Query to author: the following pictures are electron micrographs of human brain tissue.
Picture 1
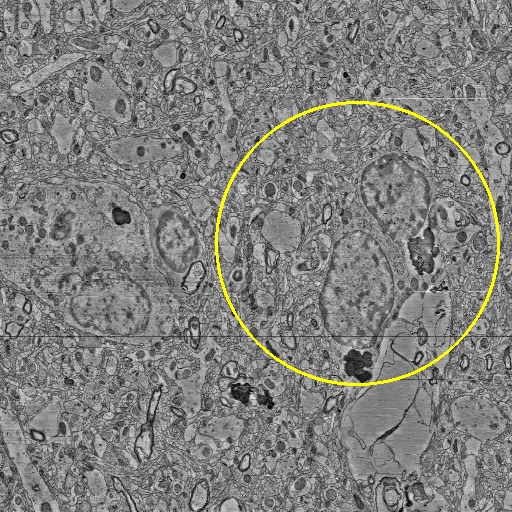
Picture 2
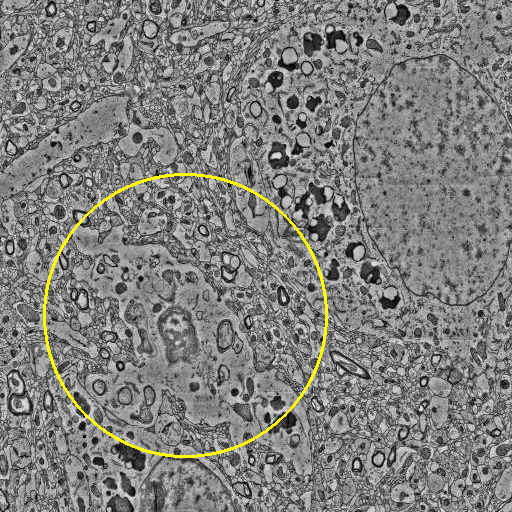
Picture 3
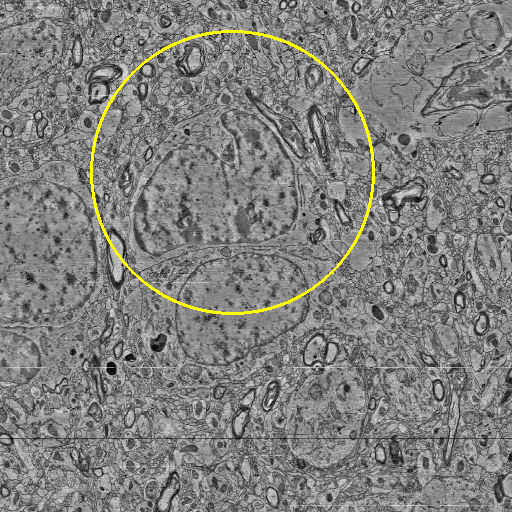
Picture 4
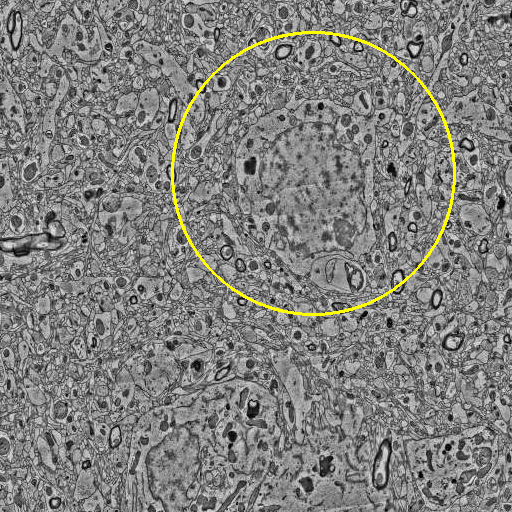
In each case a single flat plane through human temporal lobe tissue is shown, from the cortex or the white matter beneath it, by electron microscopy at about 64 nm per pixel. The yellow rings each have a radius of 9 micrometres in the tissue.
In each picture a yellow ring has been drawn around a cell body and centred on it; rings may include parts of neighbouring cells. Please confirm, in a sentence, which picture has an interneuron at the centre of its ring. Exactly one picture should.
Picture 4 has it at the centre of its ring.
